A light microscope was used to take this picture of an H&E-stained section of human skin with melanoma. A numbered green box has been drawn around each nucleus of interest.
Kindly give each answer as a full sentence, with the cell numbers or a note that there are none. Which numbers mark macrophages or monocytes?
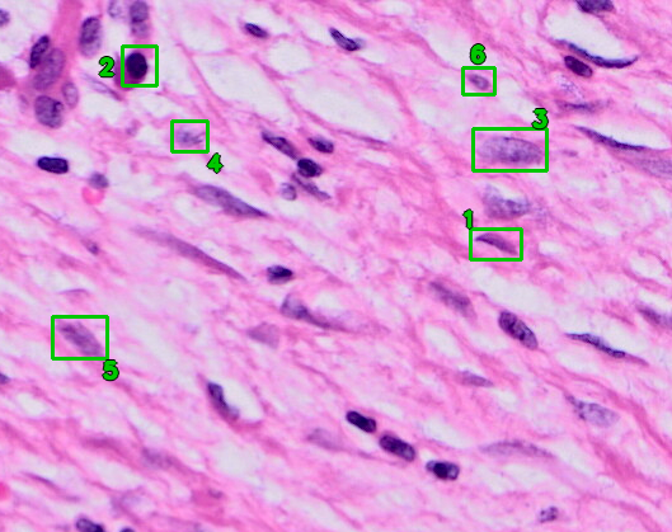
Just the cell marked 6 is a macrophage or monocyte; none of the other marked cells is.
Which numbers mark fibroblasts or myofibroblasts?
Into the category of fibroblasts or myofibroblasts fall the cells numbered 1, 3, 4 and 5.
